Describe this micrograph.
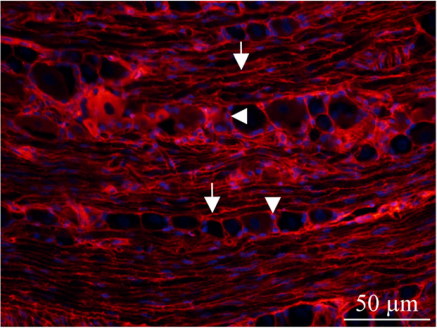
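Large round cell bodies with dark, largely unstained interiors lie in rows, each outlined by a thin red rim that carries small flattened blue nuclei. Between the rows run parallel bands of elongated red profiles with elongated nuclei. These are ganglion neurons whose surrounding glial cells are stained: satellite cells hugging the neuronal bodies, and cells enveloping the neuronal processes in the fibre bands.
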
